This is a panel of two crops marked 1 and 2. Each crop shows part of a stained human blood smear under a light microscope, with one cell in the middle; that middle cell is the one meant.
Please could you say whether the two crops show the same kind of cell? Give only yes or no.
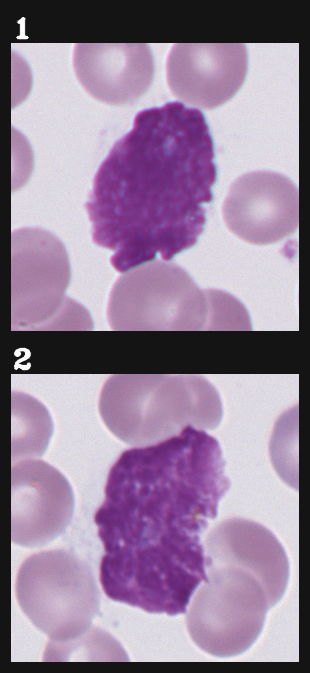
yes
